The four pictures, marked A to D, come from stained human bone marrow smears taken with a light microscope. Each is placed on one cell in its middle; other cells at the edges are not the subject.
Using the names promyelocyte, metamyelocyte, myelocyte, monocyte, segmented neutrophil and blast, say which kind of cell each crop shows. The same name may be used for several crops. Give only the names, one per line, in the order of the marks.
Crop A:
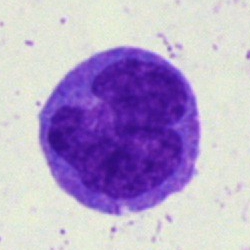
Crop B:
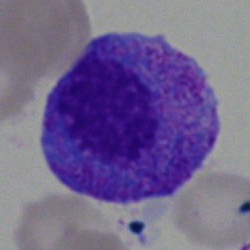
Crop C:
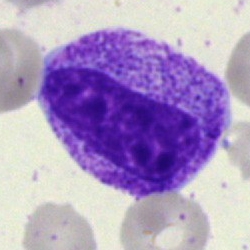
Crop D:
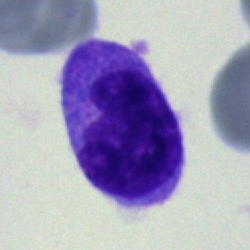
monocyte
promyelocyte
myelocyte
monocyte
